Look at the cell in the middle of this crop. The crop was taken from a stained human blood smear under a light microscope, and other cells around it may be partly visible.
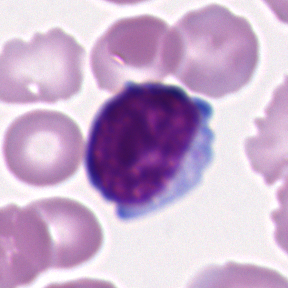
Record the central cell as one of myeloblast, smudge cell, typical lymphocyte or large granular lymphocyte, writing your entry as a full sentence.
Here the centrally located cell is a typical lymphocyte.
